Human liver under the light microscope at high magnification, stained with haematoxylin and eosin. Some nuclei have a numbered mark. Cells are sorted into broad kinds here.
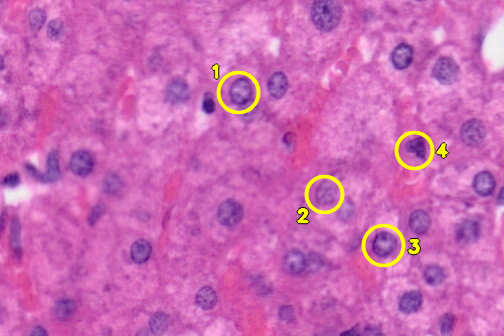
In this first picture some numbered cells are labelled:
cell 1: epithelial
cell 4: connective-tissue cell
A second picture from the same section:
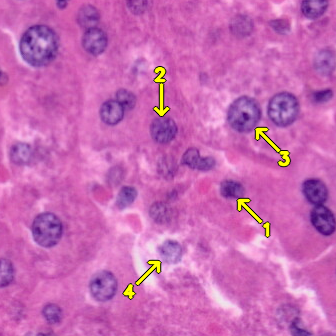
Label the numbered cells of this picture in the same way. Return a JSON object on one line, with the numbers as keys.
{"1": "connective-tissue cell", "2": "epithelial", "3": "epithelial", "4": "epithelial"}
